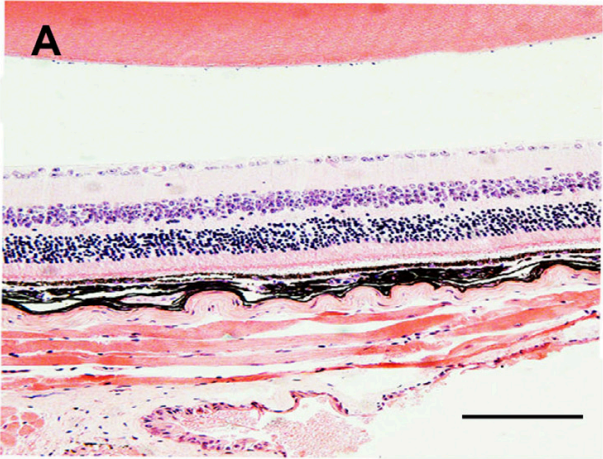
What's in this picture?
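This is a cross section through the layered retina with the pigmented choroid and sclera behind it, stained pink and purple. At the inner surface a sparse single row of nuclei sits beneath a clear space, followed by a broad pale pink fibrous band, then a band of rounder purple nuclei a few cells deep. Below a thin pink line comes a much thicker band of densely packed, small, very dark round nuclei, and beneath it a pale pink striated zone of photoreceptor segments. Under this runs a wavy black pigmented layer, and deeper still pink fibrous and muscle-like tissue of the eye wall. The layers are regular and continuous, and no clusters of scattered inflammatory cells are seen.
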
